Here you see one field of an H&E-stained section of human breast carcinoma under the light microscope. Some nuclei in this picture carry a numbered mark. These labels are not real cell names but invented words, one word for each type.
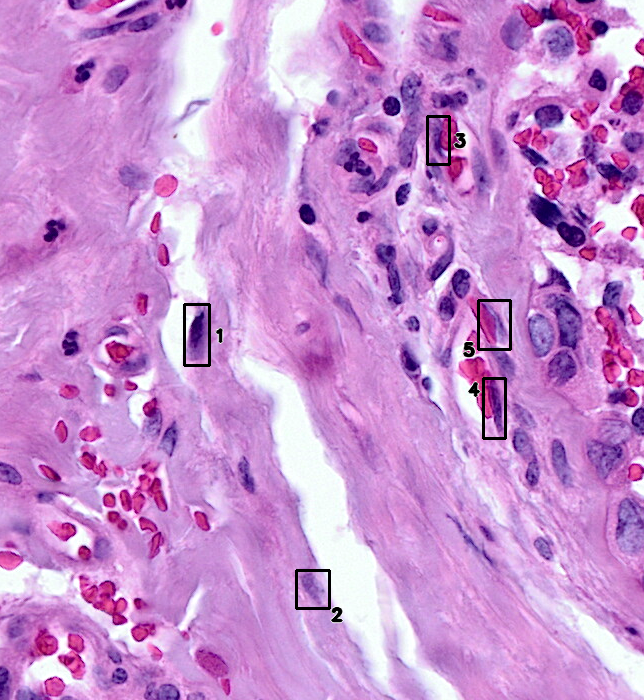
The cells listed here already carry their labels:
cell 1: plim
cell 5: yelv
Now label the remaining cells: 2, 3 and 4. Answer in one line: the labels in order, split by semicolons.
plim; yelv; yelv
